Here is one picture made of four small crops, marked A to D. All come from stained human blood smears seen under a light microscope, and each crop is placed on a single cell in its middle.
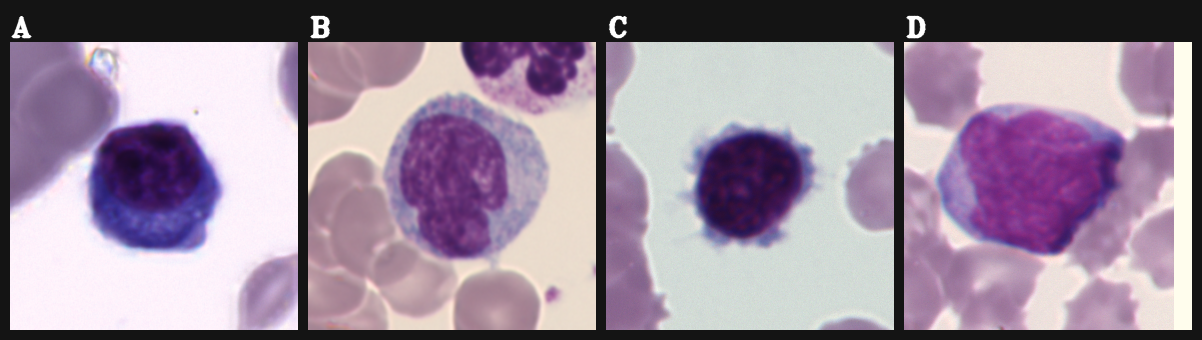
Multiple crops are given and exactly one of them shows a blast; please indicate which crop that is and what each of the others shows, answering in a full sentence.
Crop D is recognised as a blast, whereas crop A is a plasma cell, crop B is a monocyte and crop C is a hairy cell.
